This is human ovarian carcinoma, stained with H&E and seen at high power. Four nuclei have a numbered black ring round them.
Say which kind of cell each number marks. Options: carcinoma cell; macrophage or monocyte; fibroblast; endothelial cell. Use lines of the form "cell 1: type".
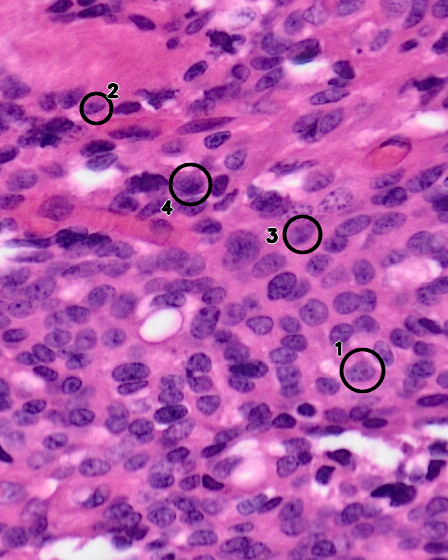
cell 1: carcinoma cell
cell 2: macrophage or monocyte
cell 3: carcinoma cell
cell 4: carcinoma cell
